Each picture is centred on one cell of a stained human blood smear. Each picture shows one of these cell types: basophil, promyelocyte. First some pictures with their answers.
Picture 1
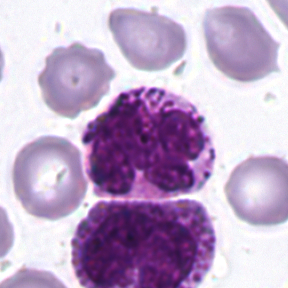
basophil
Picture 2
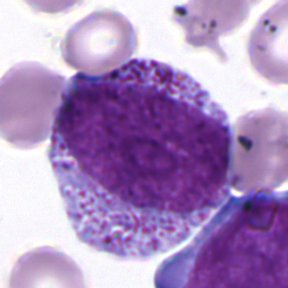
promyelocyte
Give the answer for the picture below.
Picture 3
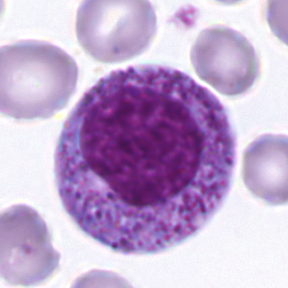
promyelocyte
